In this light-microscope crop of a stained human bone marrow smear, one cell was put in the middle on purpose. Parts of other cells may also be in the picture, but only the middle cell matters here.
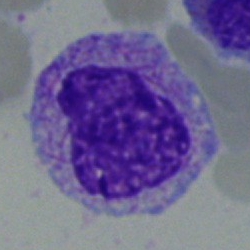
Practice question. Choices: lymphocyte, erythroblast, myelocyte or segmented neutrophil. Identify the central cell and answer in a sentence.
Occupying the centre of the crop is a myelocyte.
